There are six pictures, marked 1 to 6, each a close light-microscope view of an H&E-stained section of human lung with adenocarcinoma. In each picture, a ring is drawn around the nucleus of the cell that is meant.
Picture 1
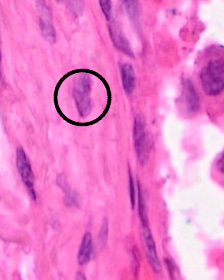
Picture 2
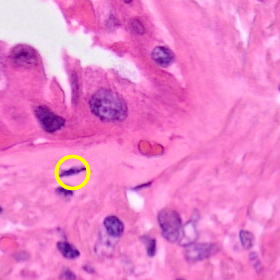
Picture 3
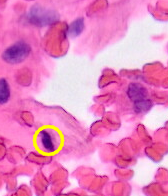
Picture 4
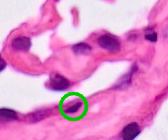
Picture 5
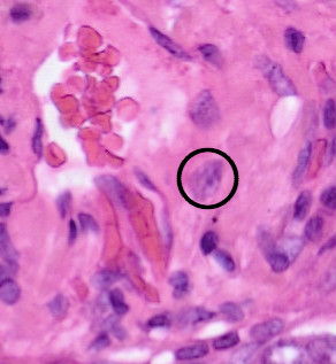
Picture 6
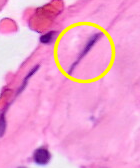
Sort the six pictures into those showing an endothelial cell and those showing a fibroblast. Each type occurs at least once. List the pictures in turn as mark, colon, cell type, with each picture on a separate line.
1: fibroblast
2: fibroblast
3: endothelial cell
4: endothelial cell
5: fibroblast
6: fibroblast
